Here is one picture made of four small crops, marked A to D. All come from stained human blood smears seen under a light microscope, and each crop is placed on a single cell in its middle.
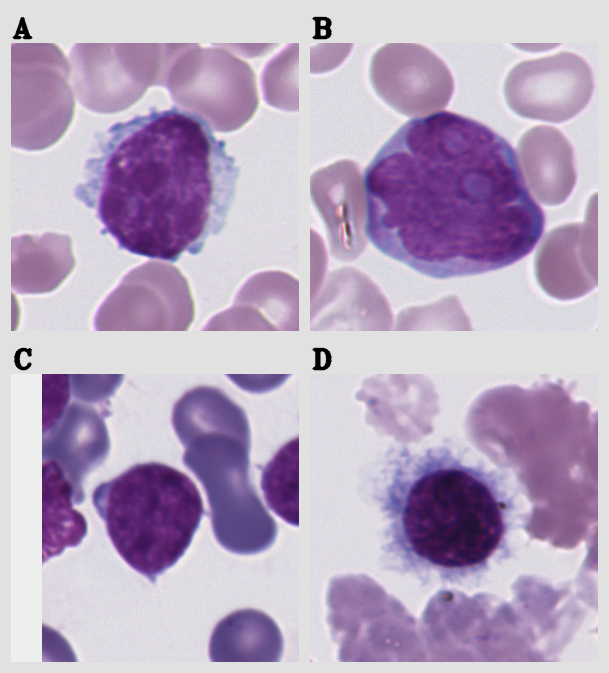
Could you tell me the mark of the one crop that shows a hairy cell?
D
